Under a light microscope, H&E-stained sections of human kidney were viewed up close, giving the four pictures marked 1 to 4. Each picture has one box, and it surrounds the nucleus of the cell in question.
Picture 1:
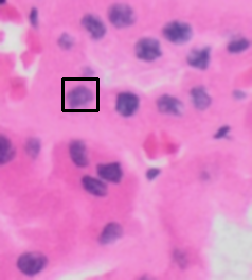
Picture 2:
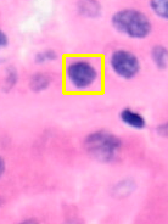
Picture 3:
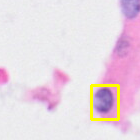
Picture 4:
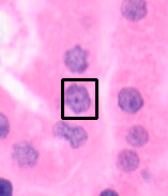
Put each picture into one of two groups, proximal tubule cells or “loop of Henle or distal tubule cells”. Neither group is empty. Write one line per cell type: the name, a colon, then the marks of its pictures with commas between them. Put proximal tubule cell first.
proximal tubule cell: 4
loop of Henle or distal tubule cell: 1, 2, 3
